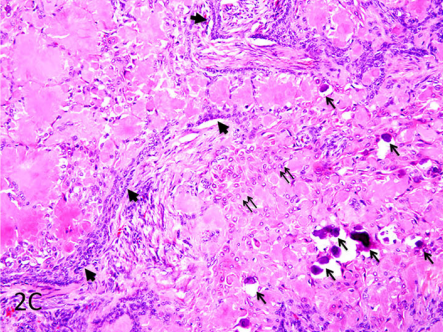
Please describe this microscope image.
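This is an epithelial tumour in which cords of small basilar epithelial cells and sheets of larger polygonal cells are partly hidden by abundant pale pink extracellular material. The small cells have dark nuclei and run in narrow cords, while the polygonal cells have more pink cytoplasm. Scattered dark purple mineralized bodies sit in clear spaces within the pink deposits.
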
